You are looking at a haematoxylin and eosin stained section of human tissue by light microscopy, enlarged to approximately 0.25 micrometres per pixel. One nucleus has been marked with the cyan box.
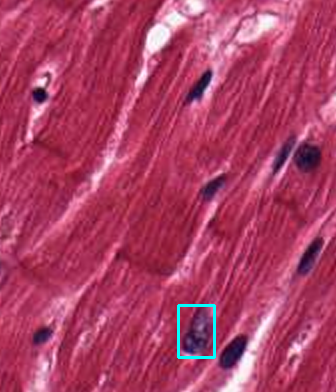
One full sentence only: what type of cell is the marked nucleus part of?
The nucleus marked in the section is that of a cardiomyocyte.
